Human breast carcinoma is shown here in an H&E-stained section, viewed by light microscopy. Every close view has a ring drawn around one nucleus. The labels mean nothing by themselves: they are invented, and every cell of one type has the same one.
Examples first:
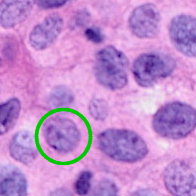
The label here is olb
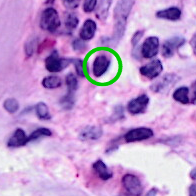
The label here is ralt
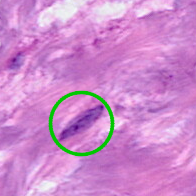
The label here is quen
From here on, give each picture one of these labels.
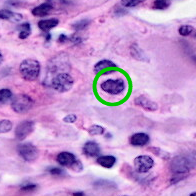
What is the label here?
ralt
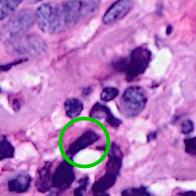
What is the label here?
olb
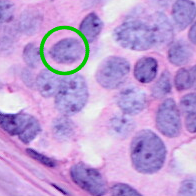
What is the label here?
olb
